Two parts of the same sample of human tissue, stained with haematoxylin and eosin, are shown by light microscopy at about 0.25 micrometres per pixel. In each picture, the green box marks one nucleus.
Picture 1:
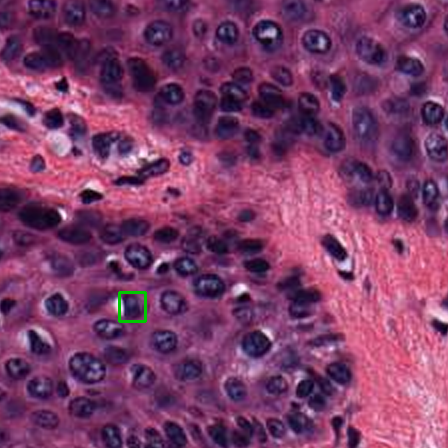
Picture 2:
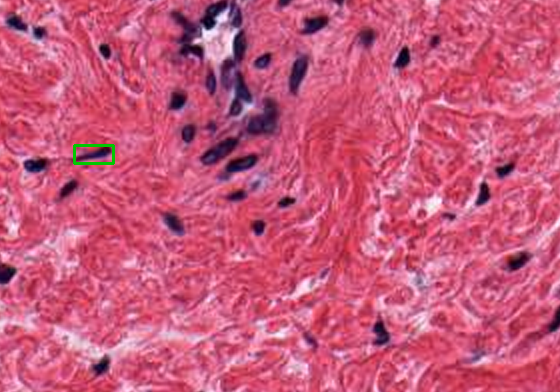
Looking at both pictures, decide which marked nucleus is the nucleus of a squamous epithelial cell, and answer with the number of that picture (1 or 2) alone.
1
